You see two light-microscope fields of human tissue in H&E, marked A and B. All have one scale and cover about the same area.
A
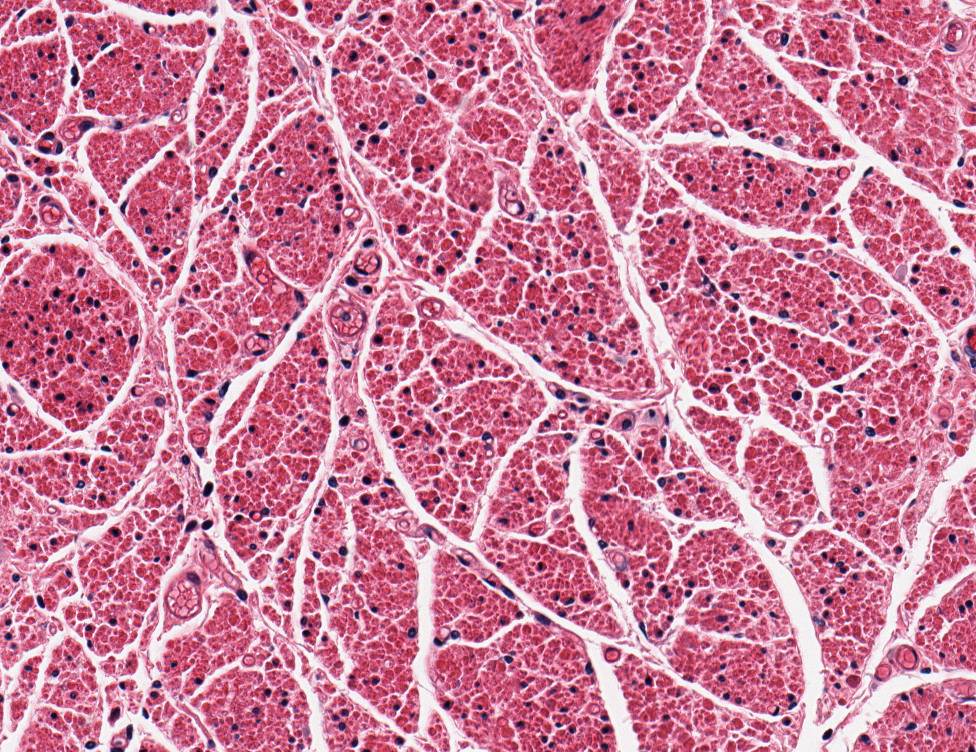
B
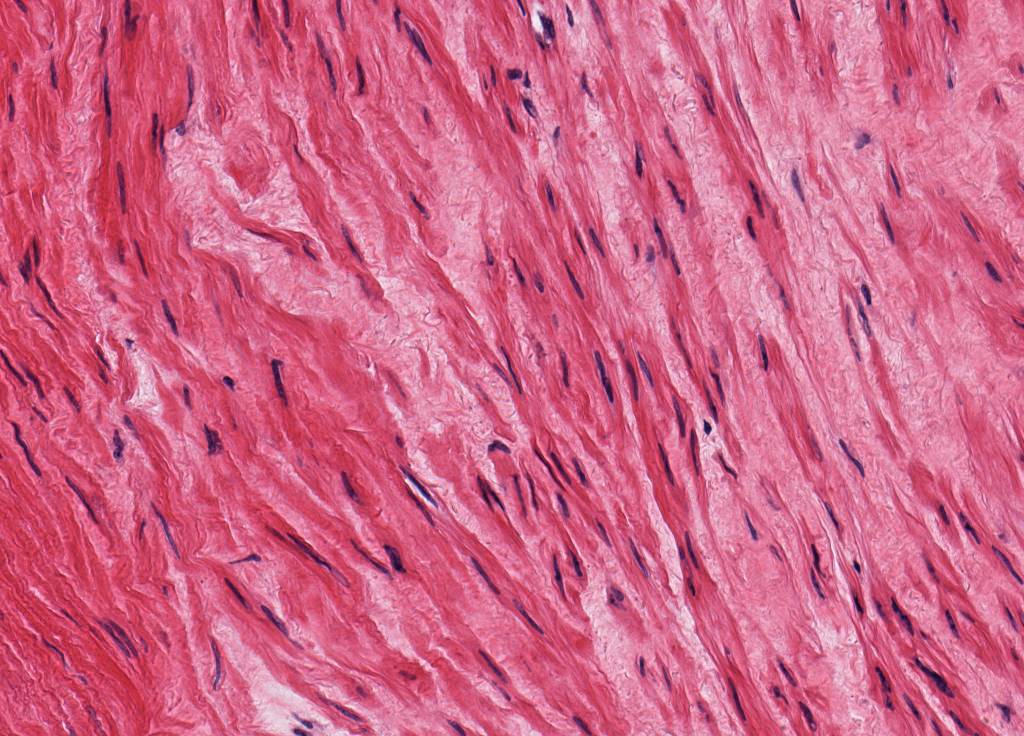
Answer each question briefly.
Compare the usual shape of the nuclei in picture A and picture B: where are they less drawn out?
A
